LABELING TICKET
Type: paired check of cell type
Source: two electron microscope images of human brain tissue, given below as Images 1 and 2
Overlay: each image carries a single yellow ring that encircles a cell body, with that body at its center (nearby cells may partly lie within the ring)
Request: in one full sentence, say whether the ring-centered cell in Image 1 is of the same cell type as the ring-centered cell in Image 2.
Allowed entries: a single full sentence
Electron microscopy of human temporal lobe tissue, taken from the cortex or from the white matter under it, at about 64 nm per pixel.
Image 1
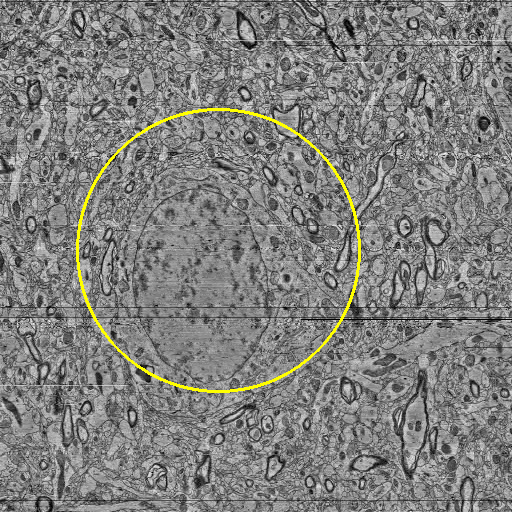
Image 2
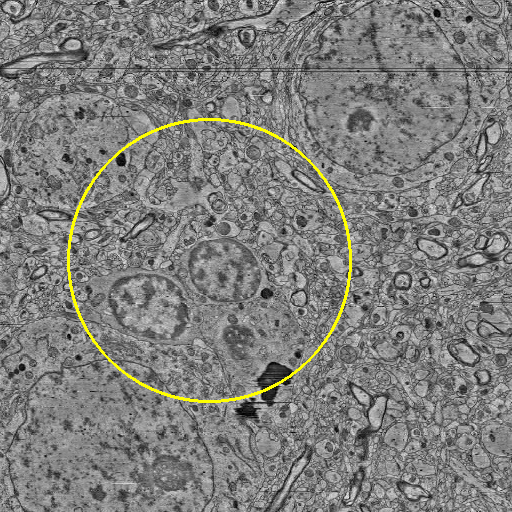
No, the cells centered in the rings of Image 1 and Image 2 are of two types.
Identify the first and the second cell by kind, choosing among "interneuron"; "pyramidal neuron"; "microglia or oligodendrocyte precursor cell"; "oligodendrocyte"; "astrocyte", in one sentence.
The one in the first picture is a pyramidal neuron, while the one in the second is an oligodendrocyte.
